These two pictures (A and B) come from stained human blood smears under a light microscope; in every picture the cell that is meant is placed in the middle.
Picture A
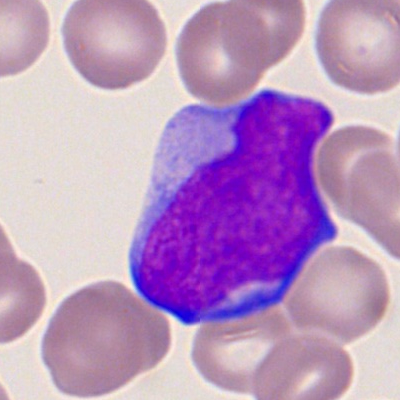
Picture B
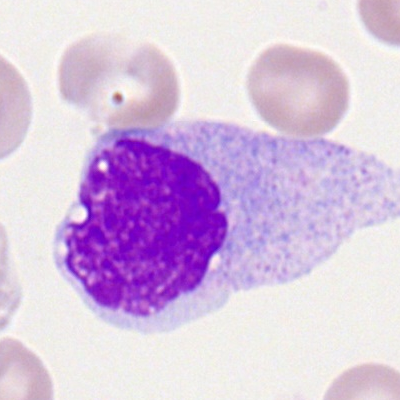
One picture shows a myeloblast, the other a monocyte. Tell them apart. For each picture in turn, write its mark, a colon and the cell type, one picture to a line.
A: myeloblast
B: monocyte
